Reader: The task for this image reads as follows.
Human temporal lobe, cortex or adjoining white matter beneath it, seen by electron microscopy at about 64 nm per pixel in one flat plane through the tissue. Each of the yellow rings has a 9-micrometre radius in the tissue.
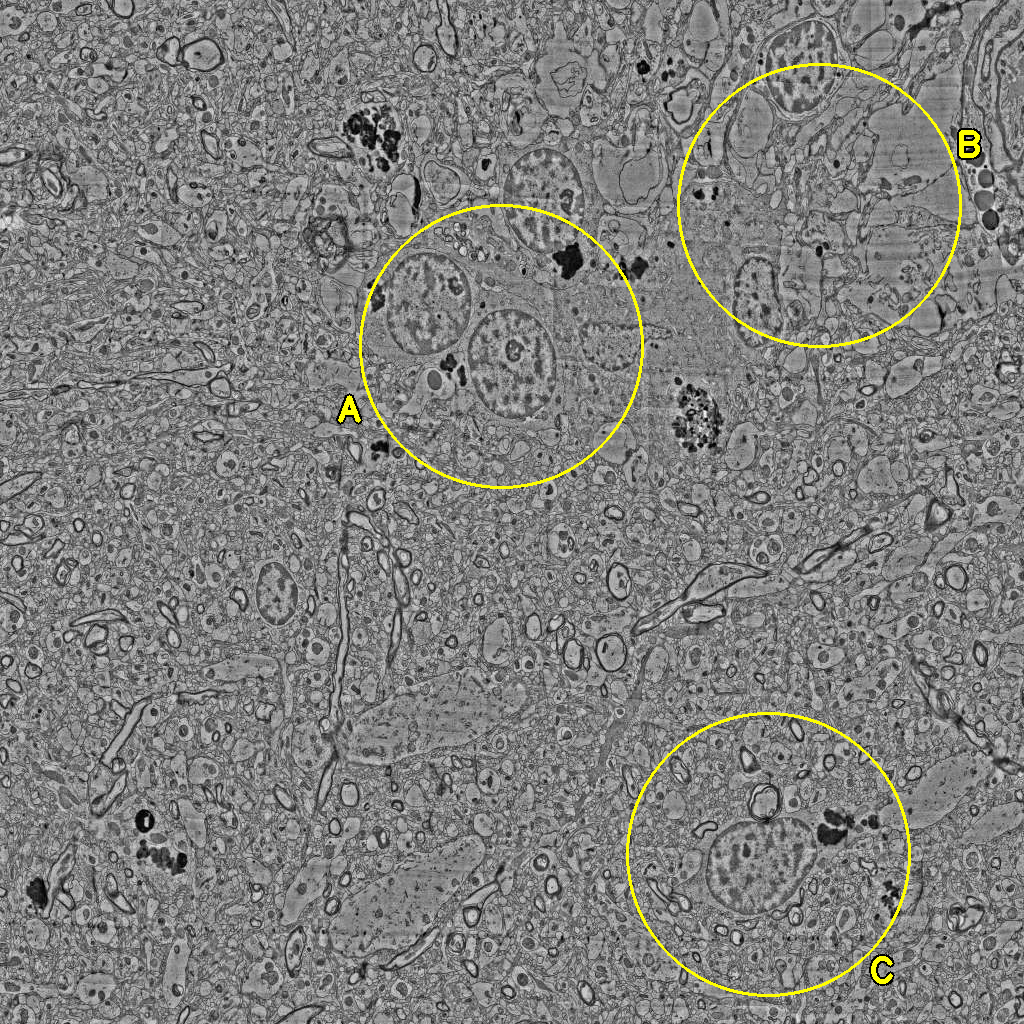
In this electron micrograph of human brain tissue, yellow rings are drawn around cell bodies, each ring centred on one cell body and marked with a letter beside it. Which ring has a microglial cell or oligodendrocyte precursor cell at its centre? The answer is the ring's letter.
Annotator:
B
